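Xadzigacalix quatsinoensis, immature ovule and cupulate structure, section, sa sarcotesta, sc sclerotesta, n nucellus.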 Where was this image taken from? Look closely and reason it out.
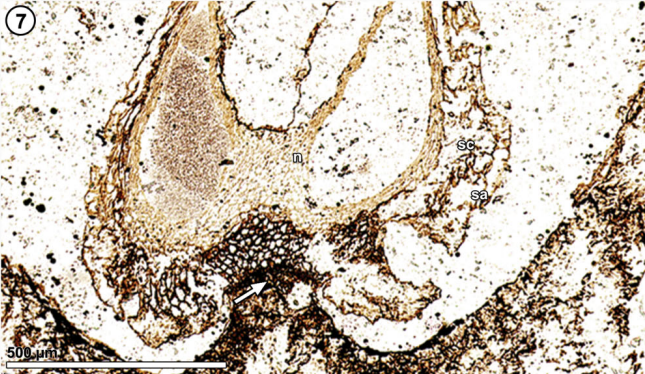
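Integument layers converge at the base where the ovule joins surrounding tissue. The answer: Chalaza.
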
